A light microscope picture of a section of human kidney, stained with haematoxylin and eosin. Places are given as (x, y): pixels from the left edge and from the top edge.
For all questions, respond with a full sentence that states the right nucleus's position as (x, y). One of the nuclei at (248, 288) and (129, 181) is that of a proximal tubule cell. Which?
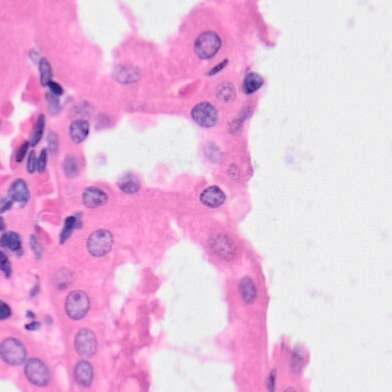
The correct choice is the nucleus at (248, 288), which belongs to a proximal tubule cell.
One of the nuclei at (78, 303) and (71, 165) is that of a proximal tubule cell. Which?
The nucleus belonging to a proximal tubule cell is the one at (78, 303).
